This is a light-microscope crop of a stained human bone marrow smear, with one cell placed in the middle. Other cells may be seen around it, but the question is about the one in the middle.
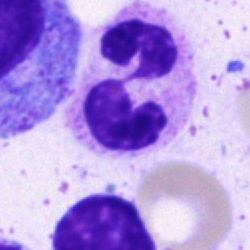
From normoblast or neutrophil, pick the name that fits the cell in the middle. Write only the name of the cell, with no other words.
neutrophil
